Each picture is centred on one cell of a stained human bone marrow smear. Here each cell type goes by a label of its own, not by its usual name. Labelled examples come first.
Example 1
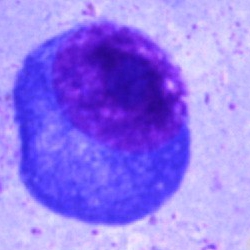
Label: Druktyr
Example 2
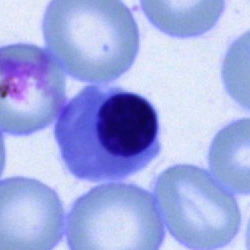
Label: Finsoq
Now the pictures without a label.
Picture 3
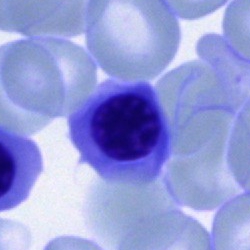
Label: Finsoq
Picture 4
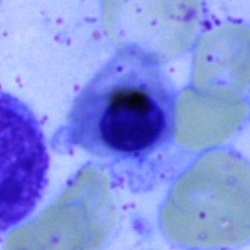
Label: Finsoq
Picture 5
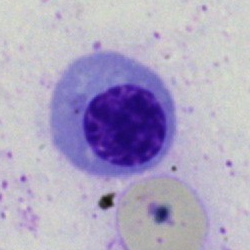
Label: Finsoq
